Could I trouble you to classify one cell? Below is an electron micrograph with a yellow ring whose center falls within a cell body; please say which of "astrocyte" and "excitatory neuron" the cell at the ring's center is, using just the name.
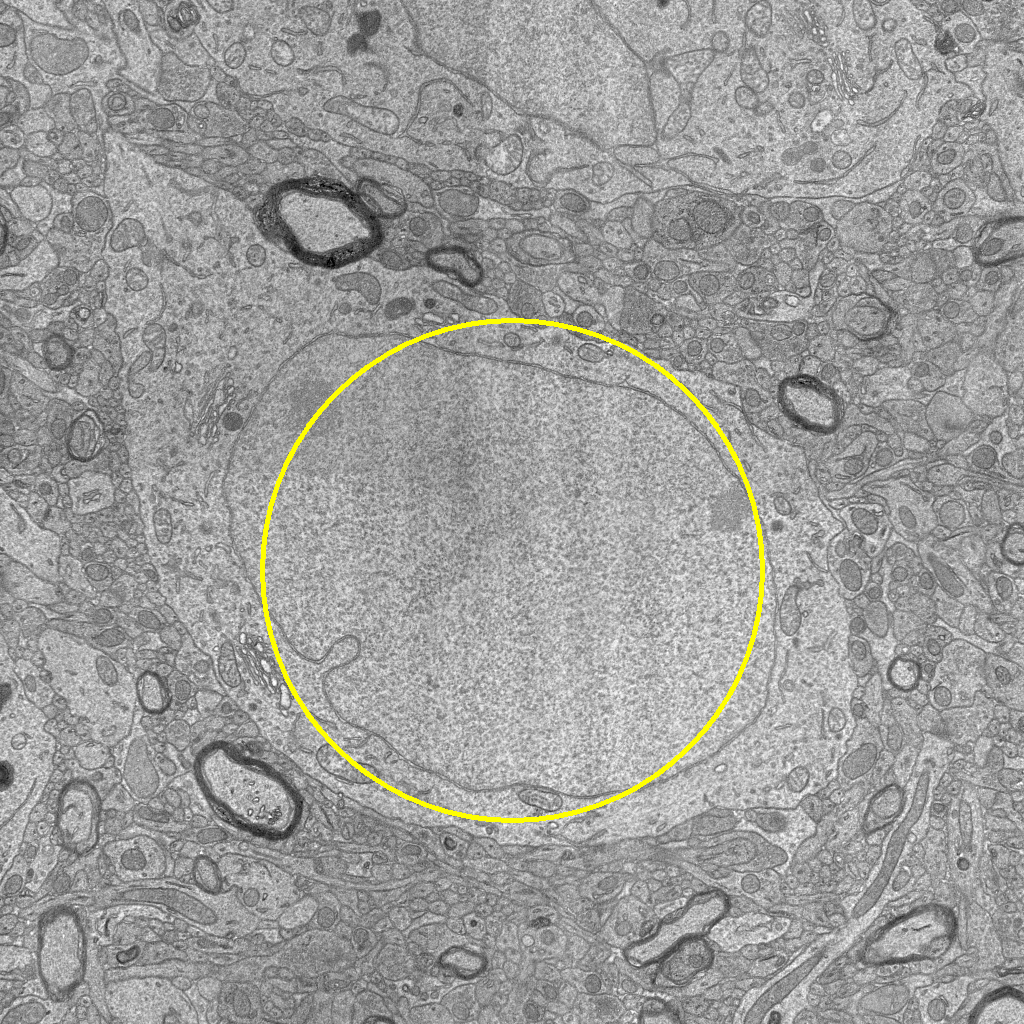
excitatory neuron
